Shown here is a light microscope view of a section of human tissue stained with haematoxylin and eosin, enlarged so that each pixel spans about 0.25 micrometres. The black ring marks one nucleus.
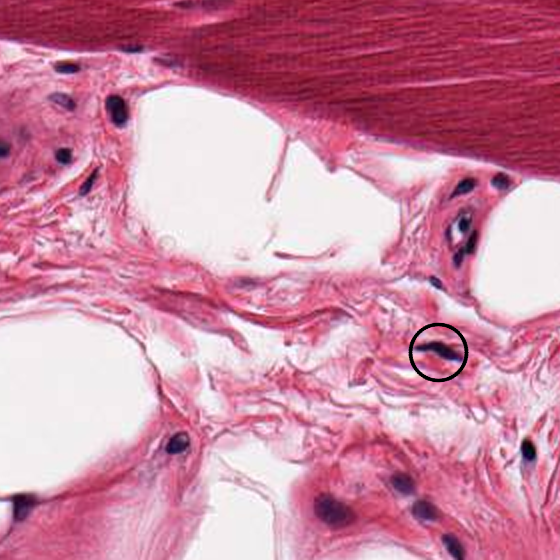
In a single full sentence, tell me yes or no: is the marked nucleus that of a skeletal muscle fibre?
No, it is not a skeletal muscle fibre but a supporting cell to which the marked nucleus is assigned.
